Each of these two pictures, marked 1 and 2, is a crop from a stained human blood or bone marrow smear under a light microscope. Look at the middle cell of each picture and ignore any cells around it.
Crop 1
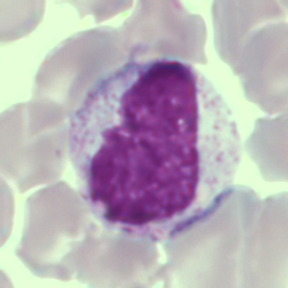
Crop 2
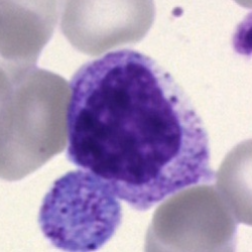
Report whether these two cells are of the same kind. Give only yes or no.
no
